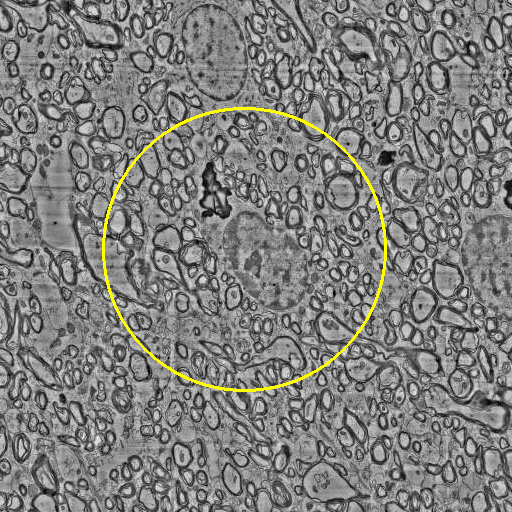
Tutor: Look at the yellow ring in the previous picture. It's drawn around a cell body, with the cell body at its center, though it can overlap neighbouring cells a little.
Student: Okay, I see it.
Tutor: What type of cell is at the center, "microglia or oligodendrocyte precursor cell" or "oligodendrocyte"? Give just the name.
oligodendrocyte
